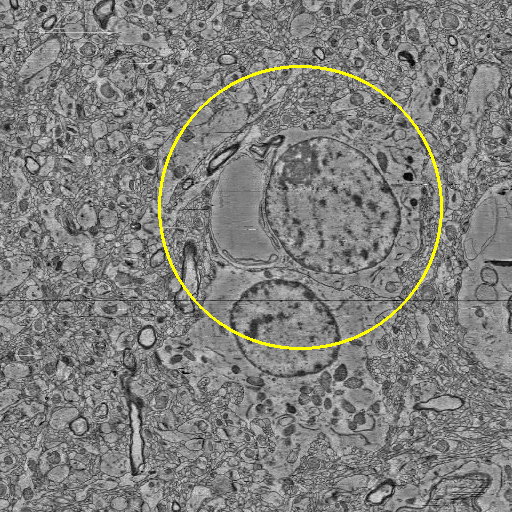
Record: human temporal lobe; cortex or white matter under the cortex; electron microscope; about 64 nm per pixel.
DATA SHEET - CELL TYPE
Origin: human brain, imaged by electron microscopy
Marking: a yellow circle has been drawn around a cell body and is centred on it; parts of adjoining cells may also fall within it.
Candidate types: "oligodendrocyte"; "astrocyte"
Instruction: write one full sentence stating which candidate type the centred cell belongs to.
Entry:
The cell body at the centre of the yellow ring in this micrograph belongs to an astrocyte.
